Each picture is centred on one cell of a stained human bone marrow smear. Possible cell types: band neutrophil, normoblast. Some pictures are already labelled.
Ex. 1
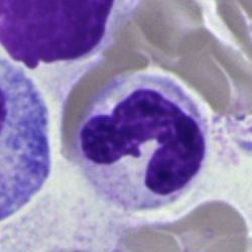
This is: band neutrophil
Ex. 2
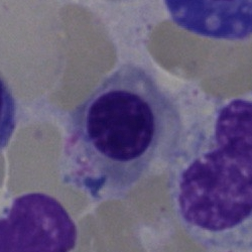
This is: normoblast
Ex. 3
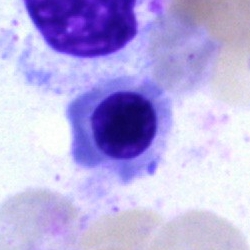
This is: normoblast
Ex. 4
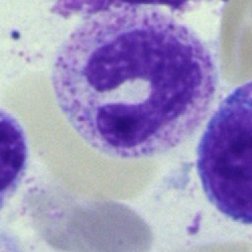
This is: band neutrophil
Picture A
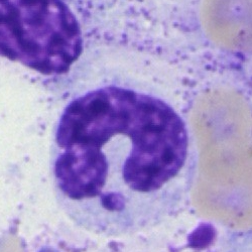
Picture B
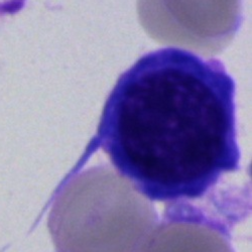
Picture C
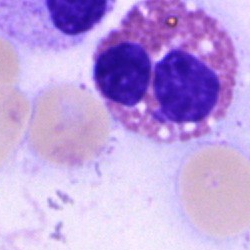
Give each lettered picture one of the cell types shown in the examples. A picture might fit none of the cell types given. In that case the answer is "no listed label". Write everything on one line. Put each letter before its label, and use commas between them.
A band neutrophil, B normoblast, C no listed label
